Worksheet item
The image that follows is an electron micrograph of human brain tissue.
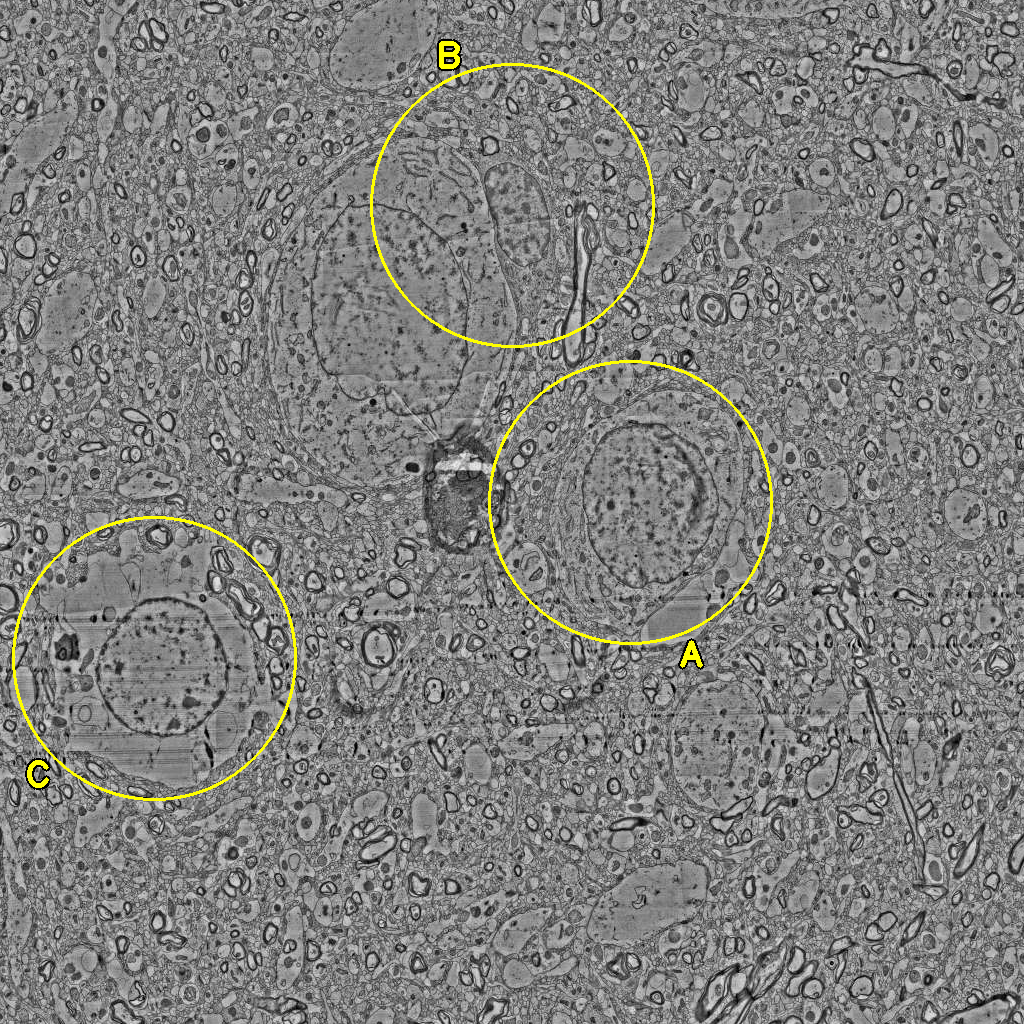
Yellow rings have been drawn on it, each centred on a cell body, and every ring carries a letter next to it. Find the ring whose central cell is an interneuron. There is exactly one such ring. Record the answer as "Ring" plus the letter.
Ring A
